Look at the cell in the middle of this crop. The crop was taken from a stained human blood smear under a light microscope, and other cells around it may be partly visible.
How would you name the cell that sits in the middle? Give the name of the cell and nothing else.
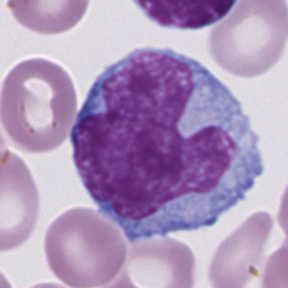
monocyte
